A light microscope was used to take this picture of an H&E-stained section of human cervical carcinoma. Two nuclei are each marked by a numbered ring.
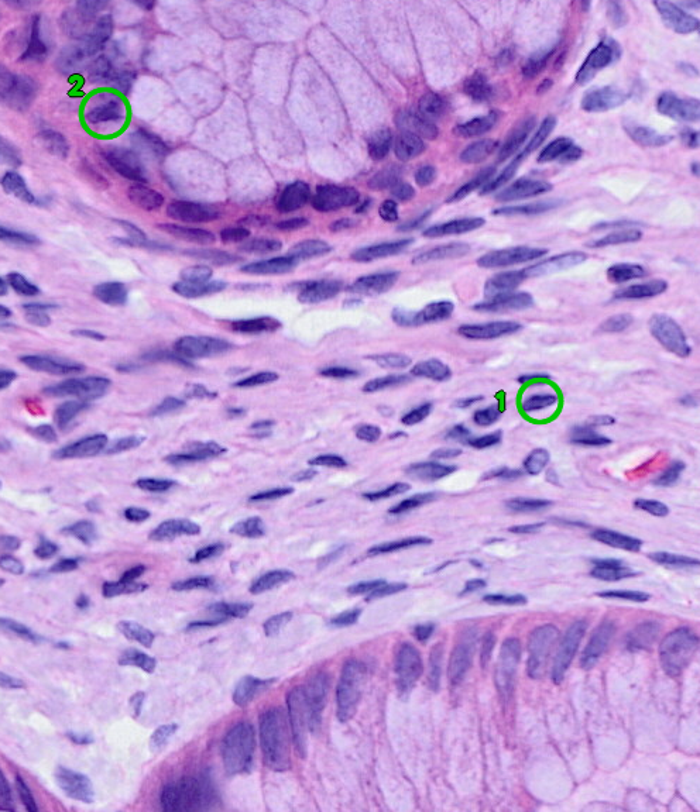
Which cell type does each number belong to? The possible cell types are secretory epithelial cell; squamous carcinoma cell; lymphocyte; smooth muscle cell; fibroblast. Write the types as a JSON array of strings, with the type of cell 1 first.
["fibroblast", "secretory epithelial cell"]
